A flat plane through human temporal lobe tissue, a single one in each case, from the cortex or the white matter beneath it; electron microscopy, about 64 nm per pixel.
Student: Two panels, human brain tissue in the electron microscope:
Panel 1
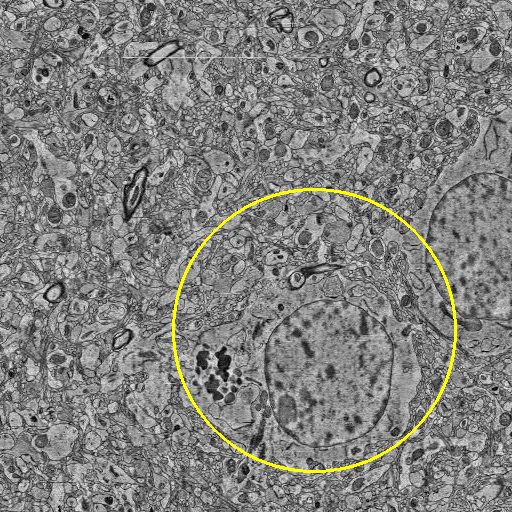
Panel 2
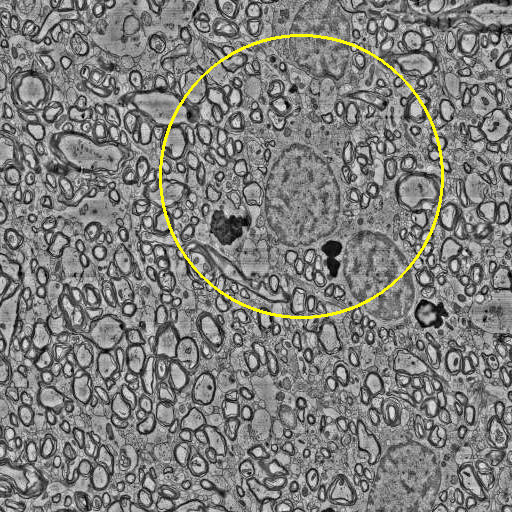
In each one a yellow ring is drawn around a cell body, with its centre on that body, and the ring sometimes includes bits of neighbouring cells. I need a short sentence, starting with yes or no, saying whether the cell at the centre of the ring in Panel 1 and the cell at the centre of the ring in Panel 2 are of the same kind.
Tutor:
No, they are two kinds of cell.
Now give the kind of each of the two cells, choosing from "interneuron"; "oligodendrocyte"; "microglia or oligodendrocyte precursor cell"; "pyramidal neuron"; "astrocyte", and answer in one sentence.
The cell in the first picture is an astrocyte, and the cell in the second is an oligodendrocyte.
